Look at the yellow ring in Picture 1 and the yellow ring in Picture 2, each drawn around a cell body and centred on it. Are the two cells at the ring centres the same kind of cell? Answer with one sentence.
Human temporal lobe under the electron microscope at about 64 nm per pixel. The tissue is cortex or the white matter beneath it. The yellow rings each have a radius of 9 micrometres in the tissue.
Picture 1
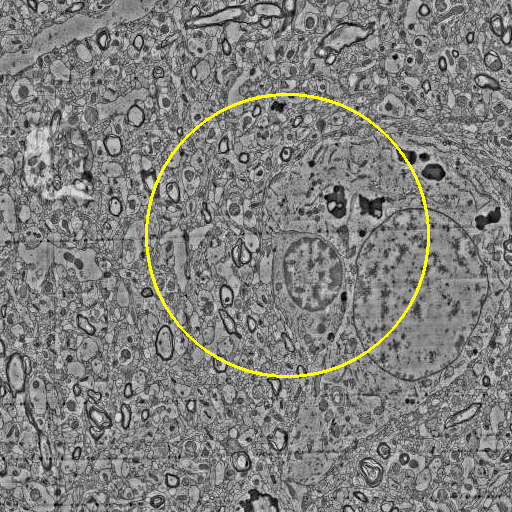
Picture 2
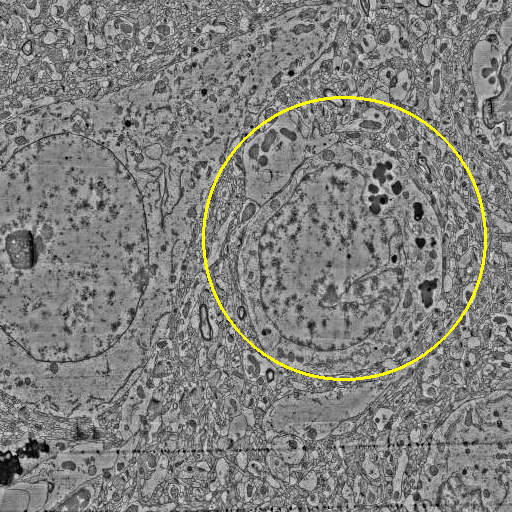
No, they are cells of two kinds.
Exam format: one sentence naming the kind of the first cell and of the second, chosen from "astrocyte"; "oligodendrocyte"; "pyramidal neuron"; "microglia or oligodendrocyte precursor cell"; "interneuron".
The first picture's cell is an oligodendrocyte, and the second picture's cell is an interneuron.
